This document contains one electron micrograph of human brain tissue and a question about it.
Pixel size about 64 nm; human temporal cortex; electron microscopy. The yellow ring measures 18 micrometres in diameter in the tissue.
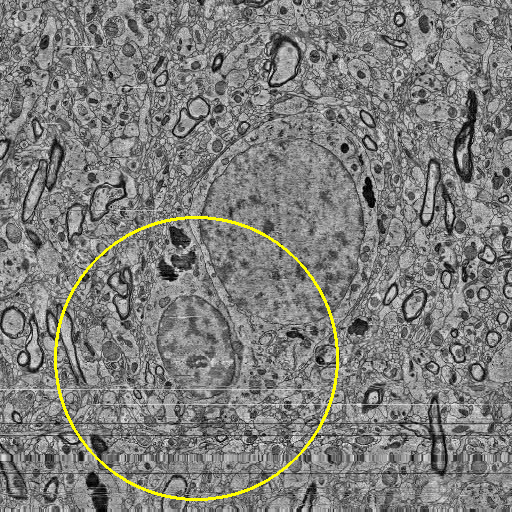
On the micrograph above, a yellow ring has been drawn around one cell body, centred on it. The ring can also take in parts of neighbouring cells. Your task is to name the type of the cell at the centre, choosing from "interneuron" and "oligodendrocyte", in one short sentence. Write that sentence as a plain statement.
Here the ring is centred on an oligodendrocyte.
